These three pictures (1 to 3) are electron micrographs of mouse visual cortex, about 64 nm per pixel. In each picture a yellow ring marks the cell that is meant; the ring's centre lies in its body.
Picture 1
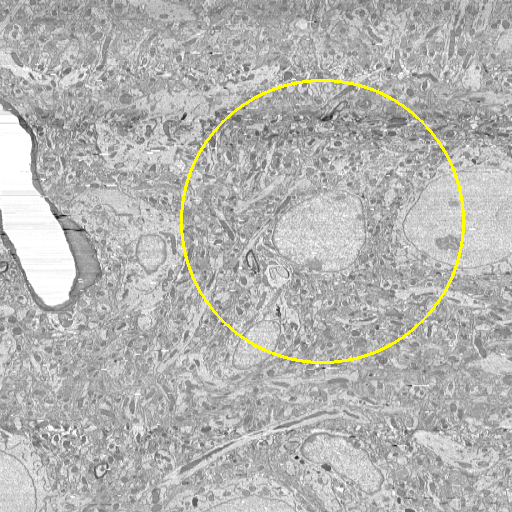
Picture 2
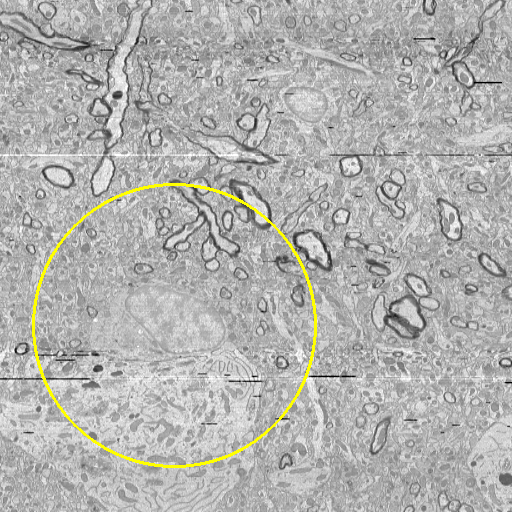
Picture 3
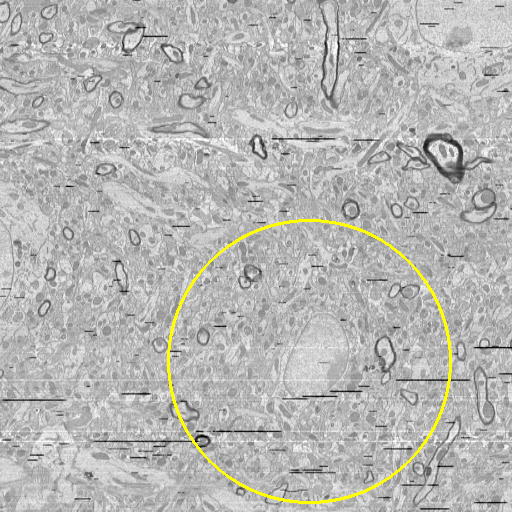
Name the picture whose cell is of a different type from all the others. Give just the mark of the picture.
2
